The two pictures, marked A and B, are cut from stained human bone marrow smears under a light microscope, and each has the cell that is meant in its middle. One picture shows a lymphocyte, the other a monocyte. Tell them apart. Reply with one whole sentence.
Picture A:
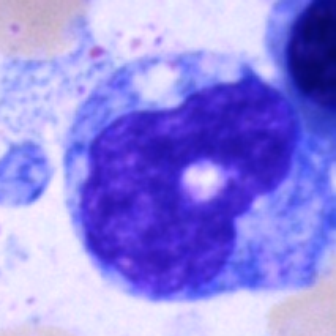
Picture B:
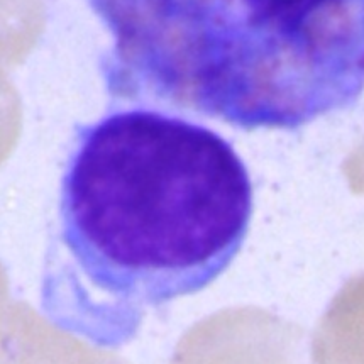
In picture A the cell is a monocyte; in picture B, a lymphocyte.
